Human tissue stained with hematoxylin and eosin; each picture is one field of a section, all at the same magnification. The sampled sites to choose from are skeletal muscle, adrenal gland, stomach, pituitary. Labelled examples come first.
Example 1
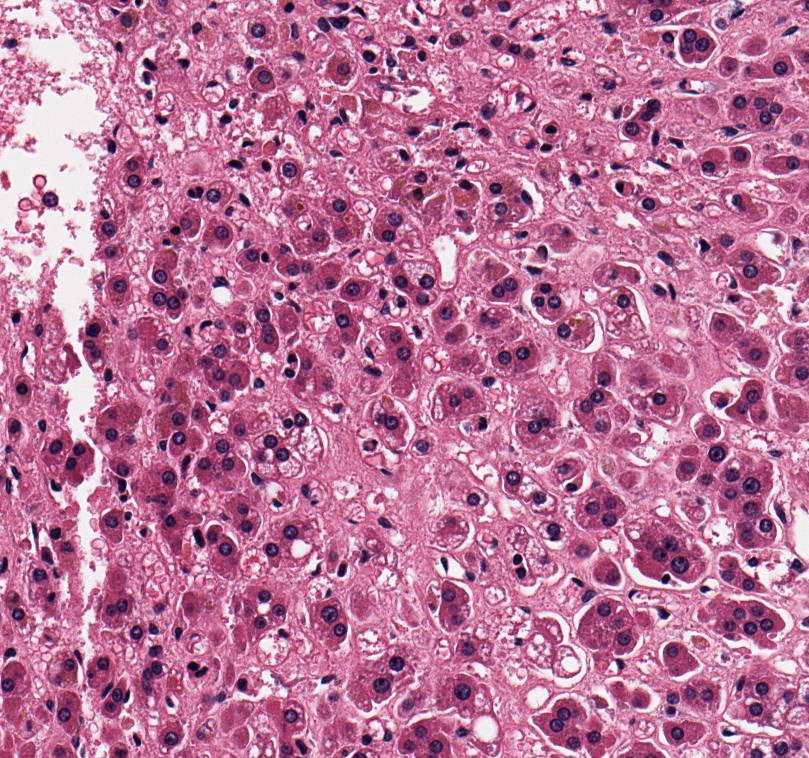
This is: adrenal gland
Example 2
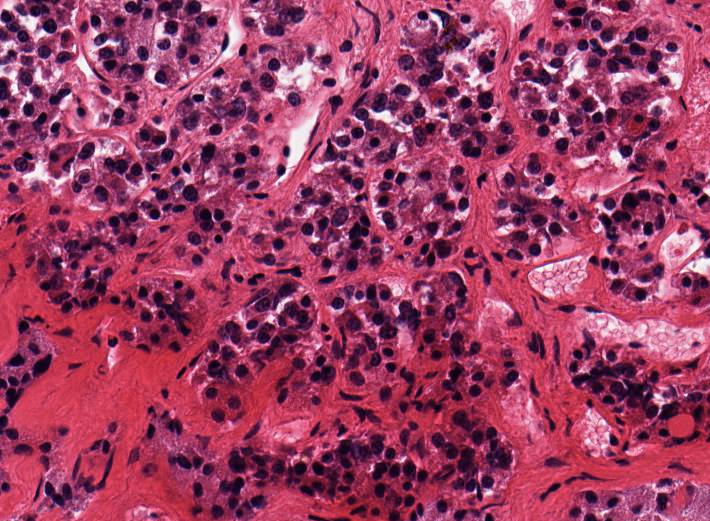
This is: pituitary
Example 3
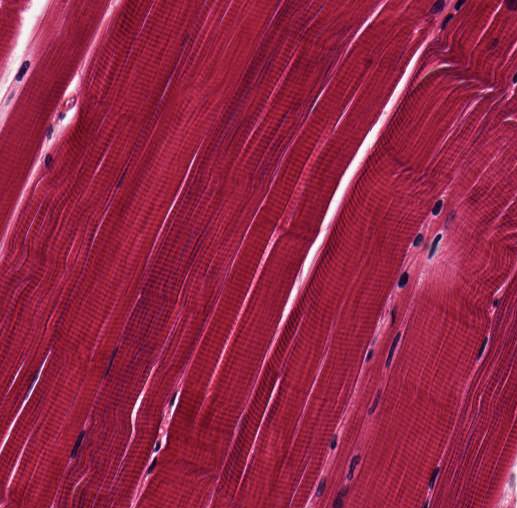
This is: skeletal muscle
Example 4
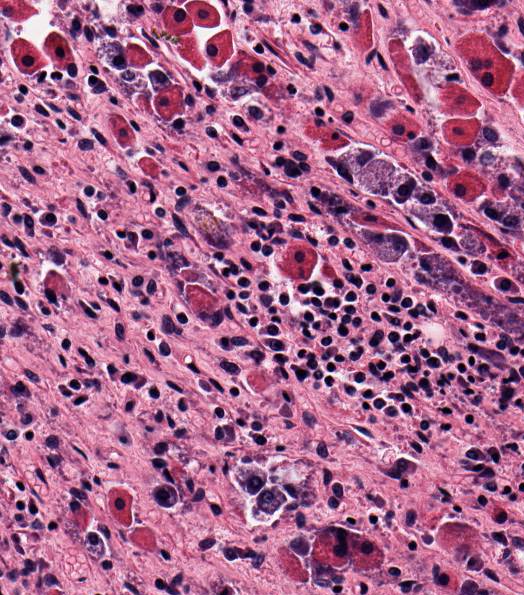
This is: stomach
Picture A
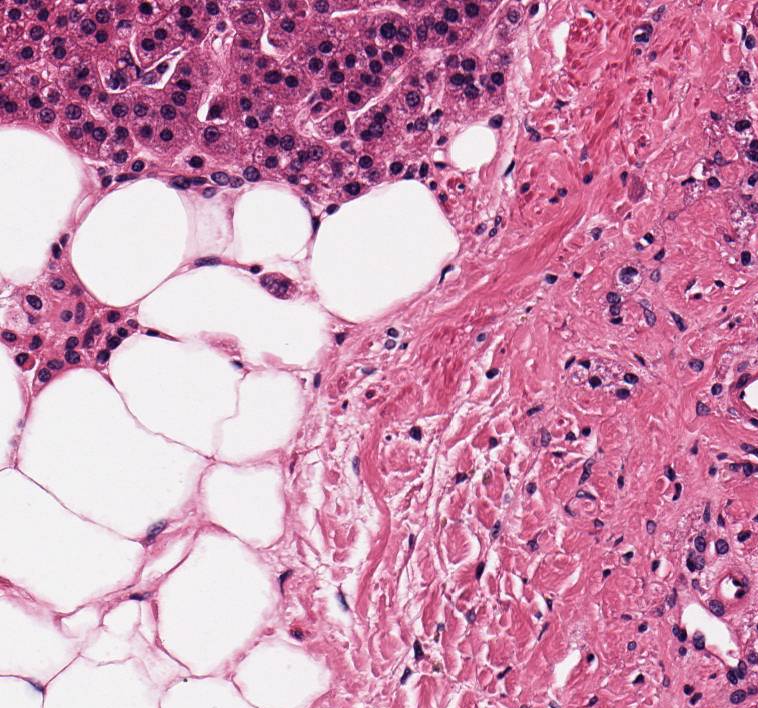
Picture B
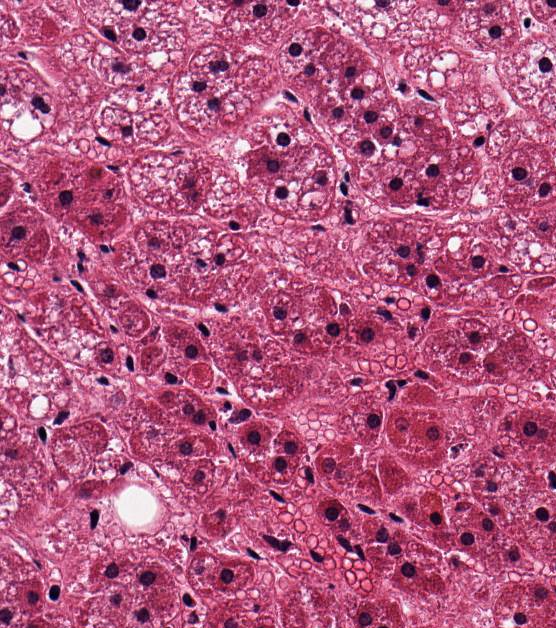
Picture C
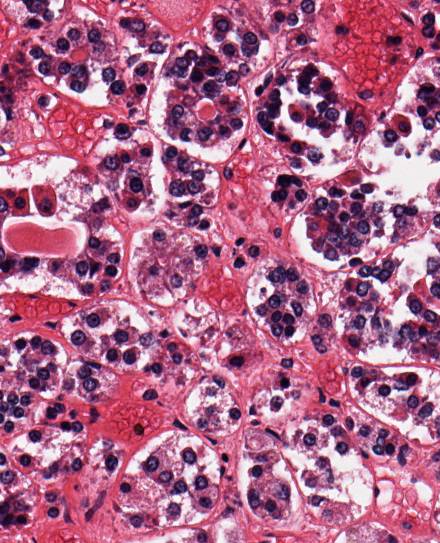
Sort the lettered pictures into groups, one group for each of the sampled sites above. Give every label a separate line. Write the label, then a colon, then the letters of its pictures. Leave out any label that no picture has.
adrenal gland: A, B
pituitary: C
